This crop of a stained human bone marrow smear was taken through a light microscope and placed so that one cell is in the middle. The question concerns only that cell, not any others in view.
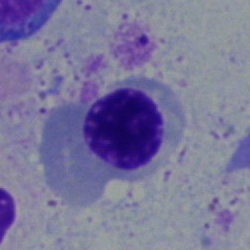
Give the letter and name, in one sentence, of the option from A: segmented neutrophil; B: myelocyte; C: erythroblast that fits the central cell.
The cell occupying the centre is an erythroblast; option C is thus the correct choice.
